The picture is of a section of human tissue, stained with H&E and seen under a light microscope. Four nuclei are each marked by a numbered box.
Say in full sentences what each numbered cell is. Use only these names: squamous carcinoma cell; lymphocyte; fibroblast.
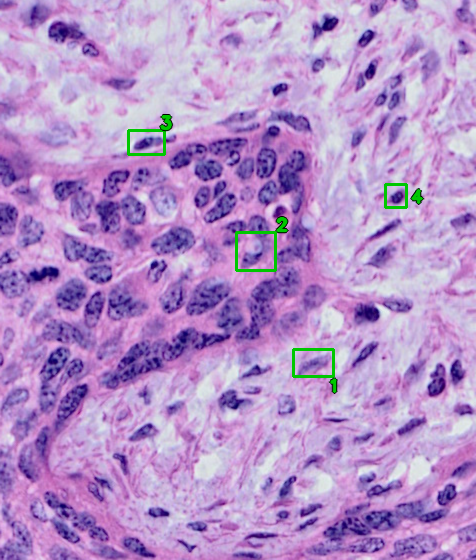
Cell 1 is a fibroblast, cell 2 is a squamous carcinoma cell, cell 3 is a lymphocyte and cell 4 is a fibroblast.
